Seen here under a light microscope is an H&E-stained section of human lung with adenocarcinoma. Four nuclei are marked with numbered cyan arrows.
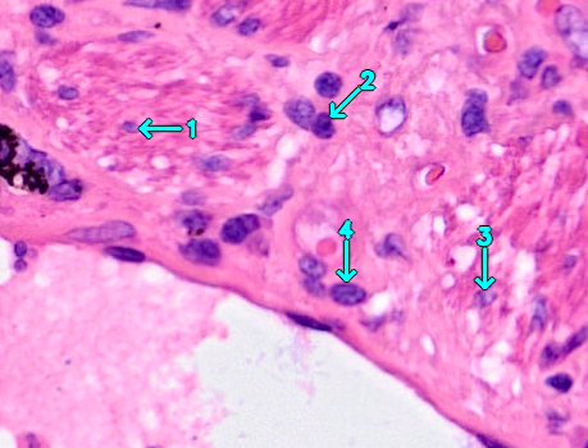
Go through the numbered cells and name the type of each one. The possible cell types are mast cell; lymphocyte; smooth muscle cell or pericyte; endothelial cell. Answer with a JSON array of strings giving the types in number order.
["smooth muscle cell or pericyte", "lymphocyte", "smooth muscle cell or pericyte", "mast cell"]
